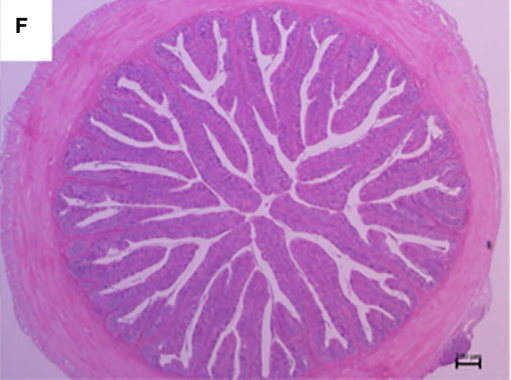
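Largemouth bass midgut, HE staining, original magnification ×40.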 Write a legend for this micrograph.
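A round cross-section of intestine has a thick, pale pink outer muscular coat surrounding a ring of closely packed, branching mucosal folds that point toward a small central lumen. The folds are covered by purple epithelium and separated by narrow white clefts.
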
